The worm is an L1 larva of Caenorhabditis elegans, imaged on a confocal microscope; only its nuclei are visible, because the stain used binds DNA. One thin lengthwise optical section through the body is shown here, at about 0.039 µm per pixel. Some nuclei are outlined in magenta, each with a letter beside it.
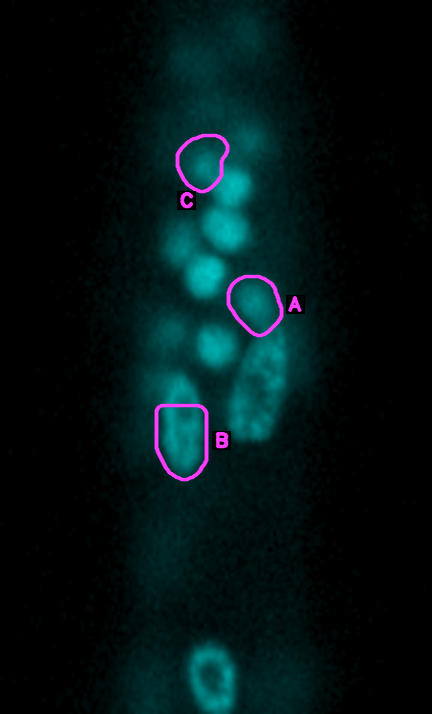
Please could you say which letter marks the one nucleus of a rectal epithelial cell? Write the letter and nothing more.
A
